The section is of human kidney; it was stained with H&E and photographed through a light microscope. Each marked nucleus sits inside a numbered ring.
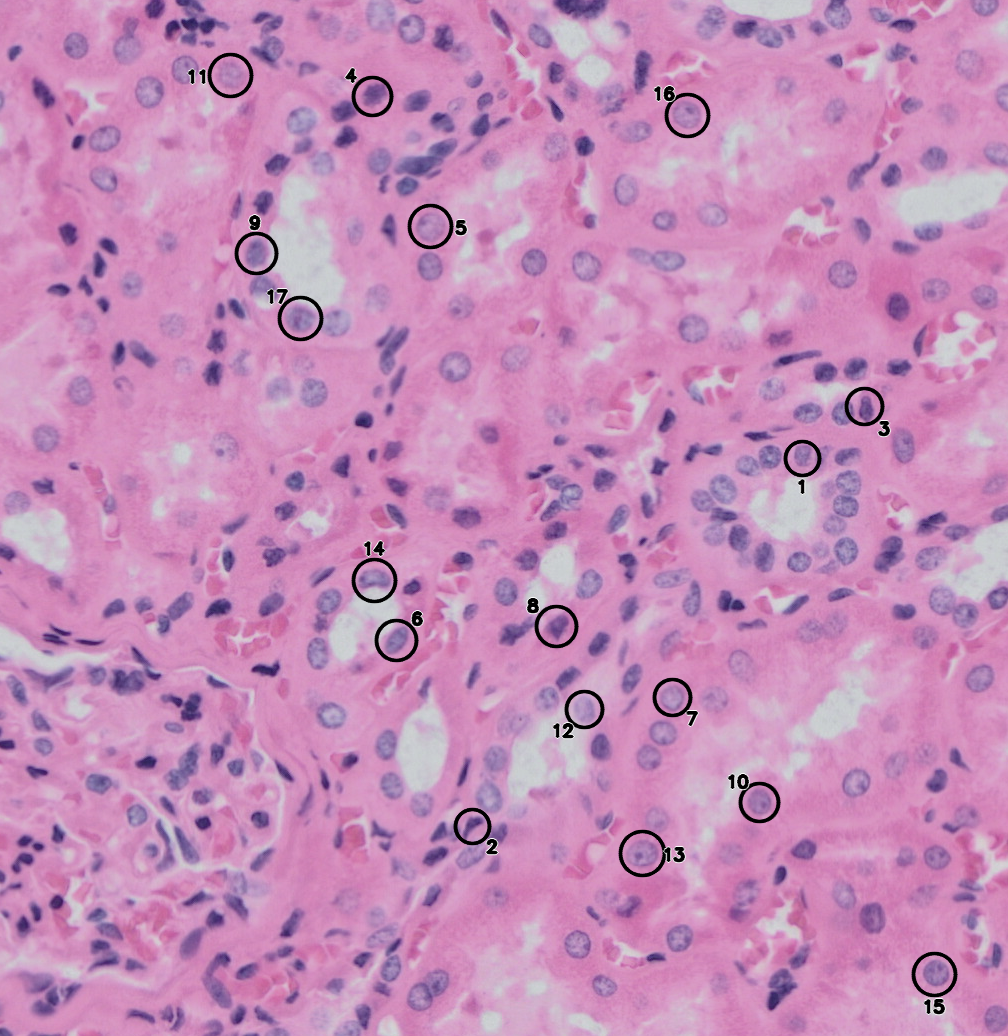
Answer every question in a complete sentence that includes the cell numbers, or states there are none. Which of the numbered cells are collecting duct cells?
The cells with labels 1, 2 and 12 are collecting duct cells.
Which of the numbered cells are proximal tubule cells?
The cells identified by the numbers 5, 7, 10, 11, 13, 15 and 16 are proximal tubule cells.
